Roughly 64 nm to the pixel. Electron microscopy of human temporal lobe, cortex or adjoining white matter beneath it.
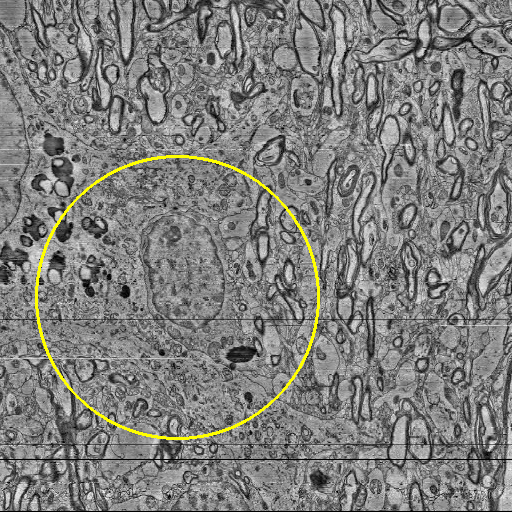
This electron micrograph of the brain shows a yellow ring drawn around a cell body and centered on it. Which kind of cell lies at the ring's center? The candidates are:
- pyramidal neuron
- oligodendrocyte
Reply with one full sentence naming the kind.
The cell lying at the ring's center in this micrograph is an oligodendrocyte.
